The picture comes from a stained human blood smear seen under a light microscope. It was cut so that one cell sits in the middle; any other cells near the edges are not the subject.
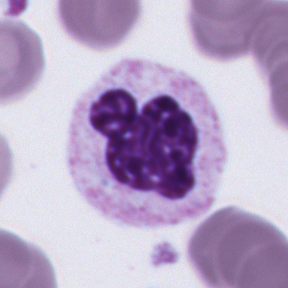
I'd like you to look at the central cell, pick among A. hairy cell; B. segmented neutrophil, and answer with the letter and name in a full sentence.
Here the central cell is a segmented neutrophil, and option B is correct.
